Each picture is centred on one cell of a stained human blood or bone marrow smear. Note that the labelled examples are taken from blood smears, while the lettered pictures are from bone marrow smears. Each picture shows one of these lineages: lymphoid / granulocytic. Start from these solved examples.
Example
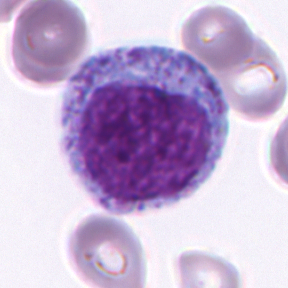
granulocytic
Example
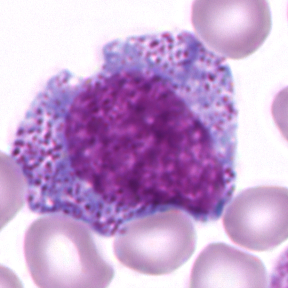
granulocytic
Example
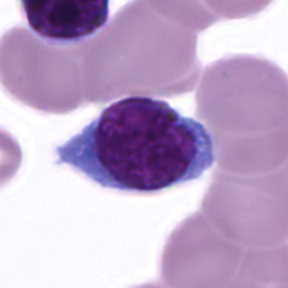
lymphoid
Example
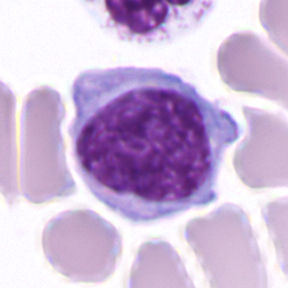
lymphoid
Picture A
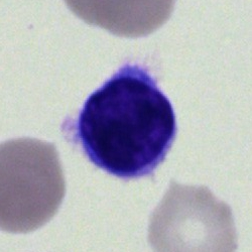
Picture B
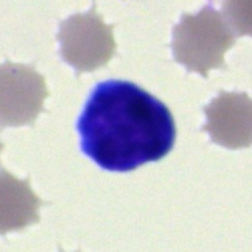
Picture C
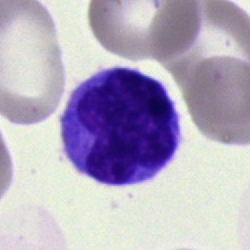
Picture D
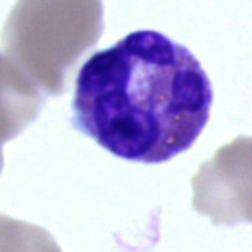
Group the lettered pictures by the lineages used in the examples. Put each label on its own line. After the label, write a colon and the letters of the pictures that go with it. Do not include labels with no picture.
lymphoid: A, B, C
granulocytic: D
